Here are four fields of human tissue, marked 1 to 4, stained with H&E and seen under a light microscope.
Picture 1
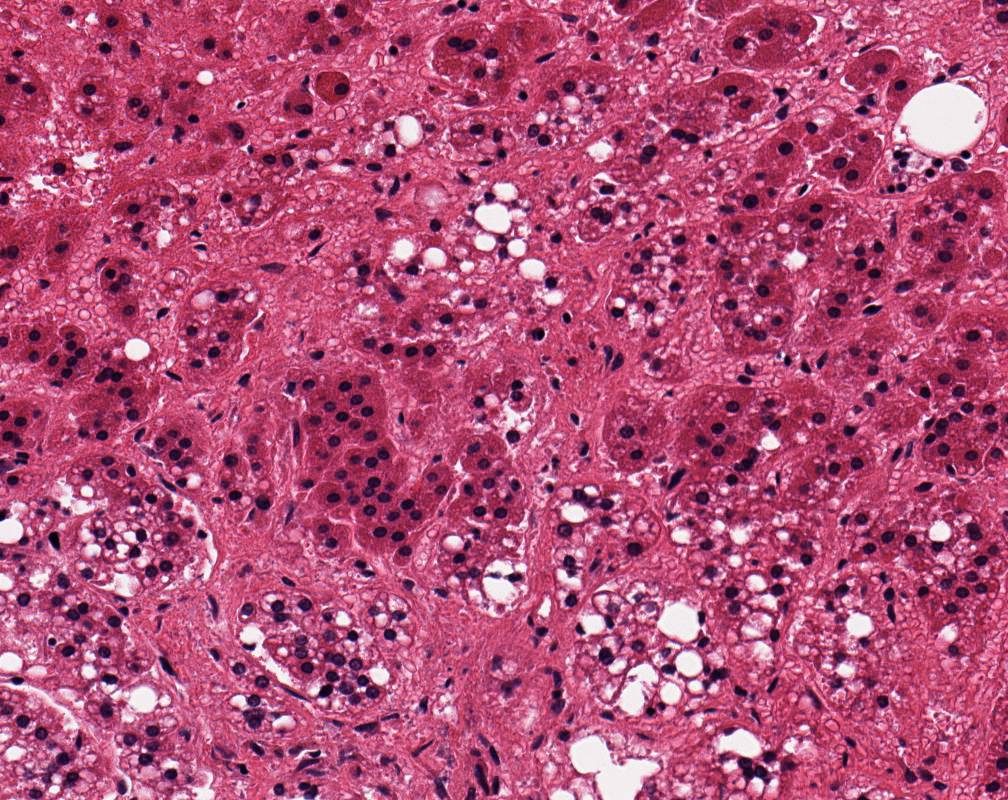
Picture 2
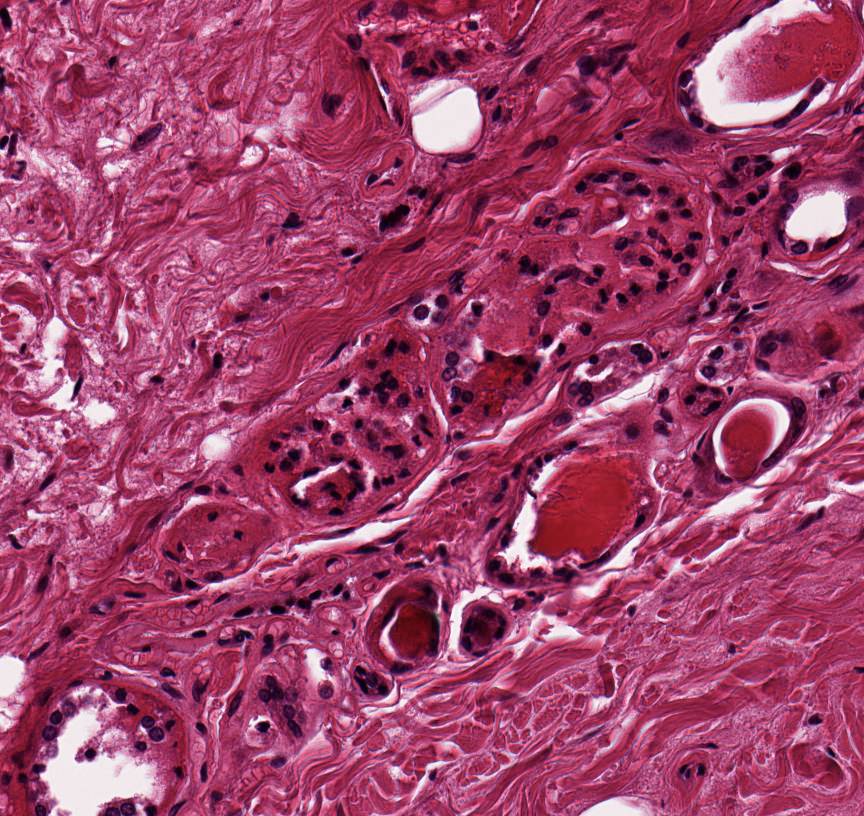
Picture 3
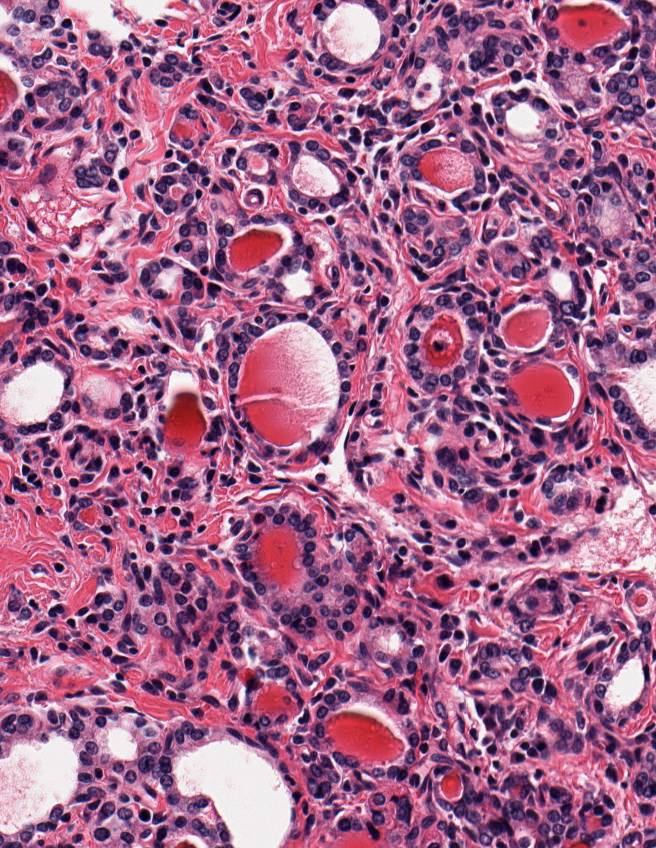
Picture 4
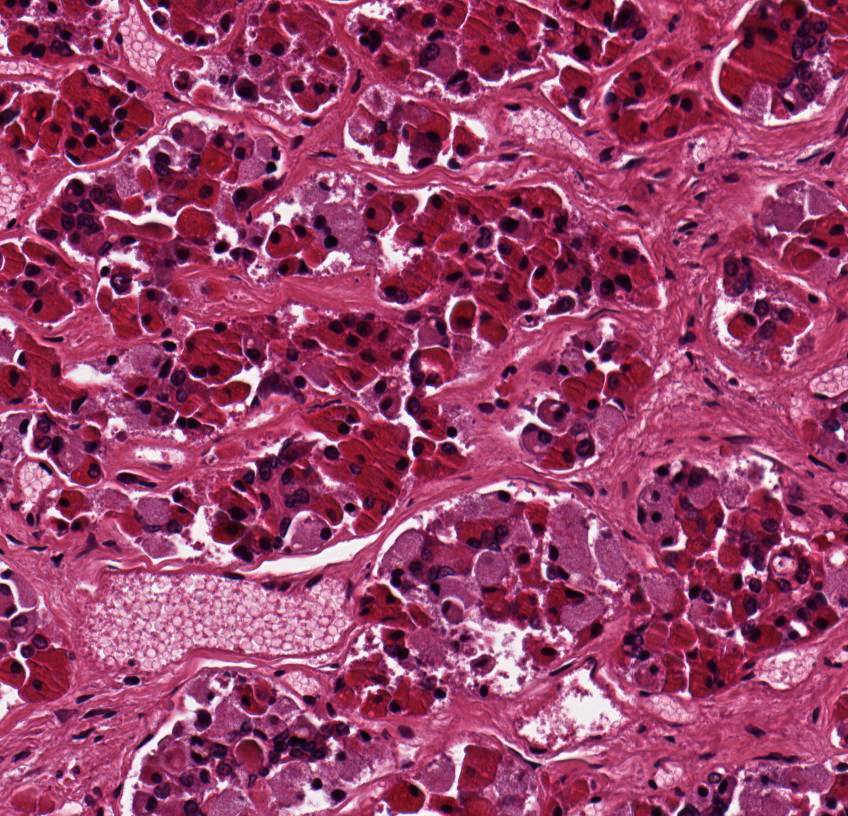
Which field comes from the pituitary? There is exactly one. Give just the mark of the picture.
4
